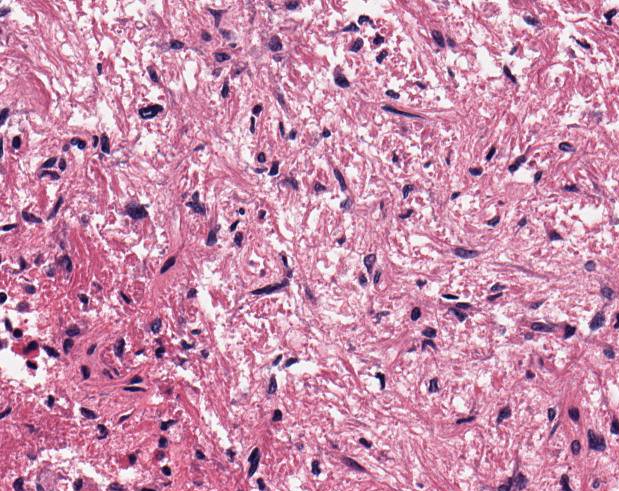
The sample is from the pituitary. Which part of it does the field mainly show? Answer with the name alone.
neurohypophysis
